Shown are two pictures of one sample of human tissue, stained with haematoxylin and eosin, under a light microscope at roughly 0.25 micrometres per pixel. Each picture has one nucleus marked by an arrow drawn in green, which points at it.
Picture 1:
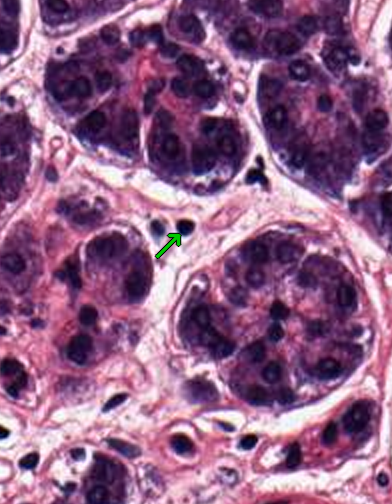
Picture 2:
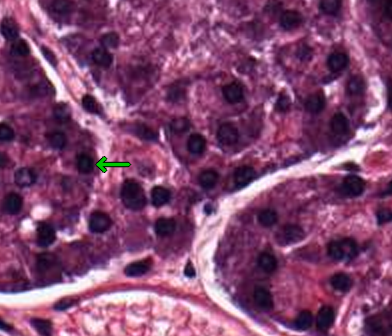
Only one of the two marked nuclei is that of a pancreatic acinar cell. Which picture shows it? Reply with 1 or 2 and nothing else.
2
